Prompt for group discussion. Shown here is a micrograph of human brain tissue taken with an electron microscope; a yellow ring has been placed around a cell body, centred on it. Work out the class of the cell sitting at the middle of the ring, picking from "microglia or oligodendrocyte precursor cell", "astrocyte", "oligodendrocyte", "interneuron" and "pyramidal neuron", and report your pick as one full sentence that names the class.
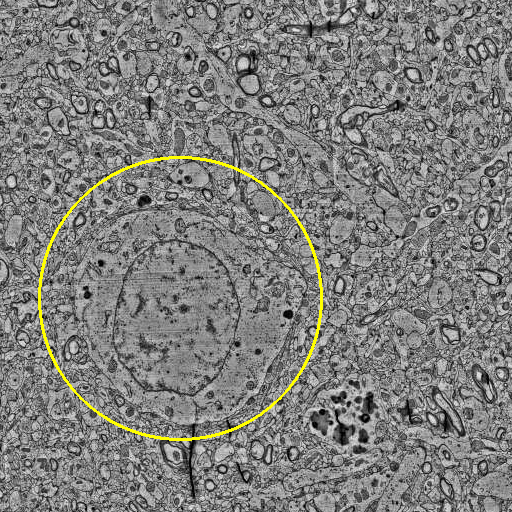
The cell sitting at the middle of the yellow ring is a pyramidal neuron.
